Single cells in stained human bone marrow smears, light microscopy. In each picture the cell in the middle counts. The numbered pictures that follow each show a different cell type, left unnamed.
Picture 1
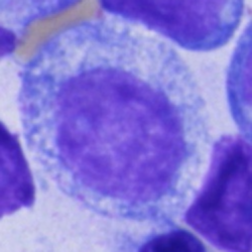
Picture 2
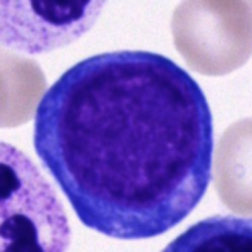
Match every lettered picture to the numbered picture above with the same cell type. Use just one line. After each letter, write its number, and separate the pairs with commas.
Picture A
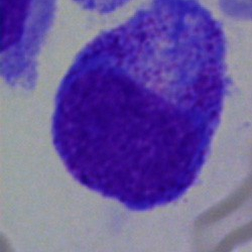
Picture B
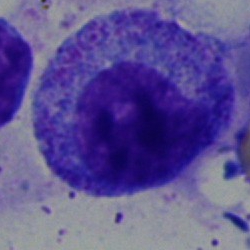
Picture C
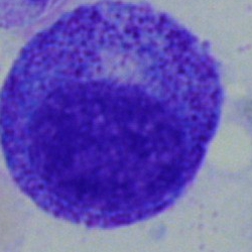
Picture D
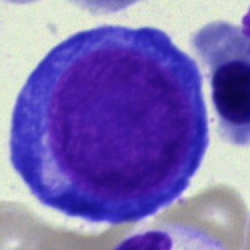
A 1, B 1, C 1, D 2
